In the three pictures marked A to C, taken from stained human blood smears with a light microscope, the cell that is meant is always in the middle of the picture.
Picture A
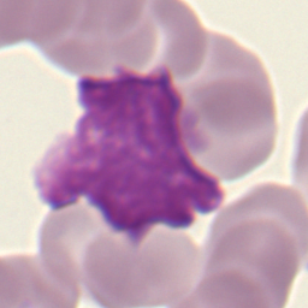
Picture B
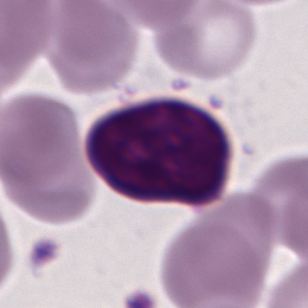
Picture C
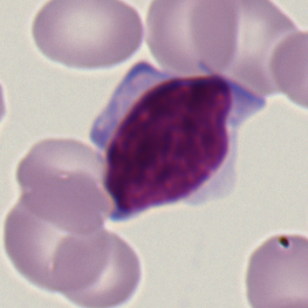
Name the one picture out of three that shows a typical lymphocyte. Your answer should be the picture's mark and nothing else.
C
